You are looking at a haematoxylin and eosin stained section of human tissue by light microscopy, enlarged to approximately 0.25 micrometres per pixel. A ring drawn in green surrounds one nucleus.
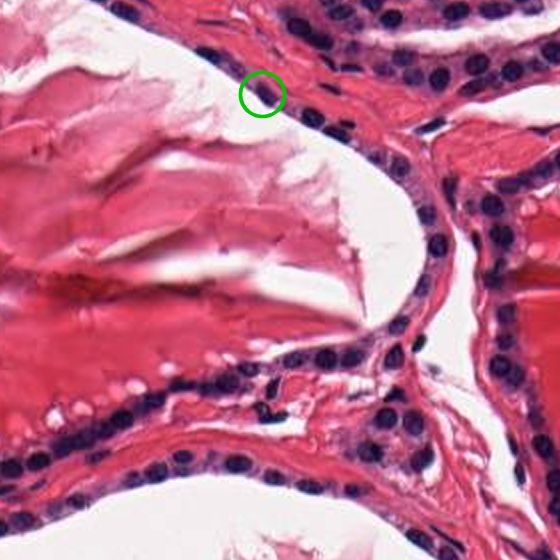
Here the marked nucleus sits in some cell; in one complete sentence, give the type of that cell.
The marked nucleus is the nucleus of a thyroid follicular cell.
